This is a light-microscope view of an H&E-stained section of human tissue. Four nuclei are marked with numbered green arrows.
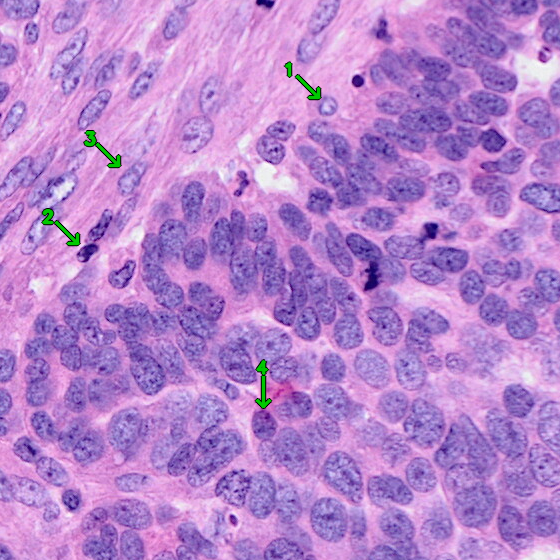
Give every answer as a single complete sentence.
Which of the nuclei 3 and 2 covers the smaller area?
It is nucleus 2; nucleus 3 has about 2 times its area.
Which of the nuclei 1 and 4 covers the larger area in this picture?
The larger nucleus is 4, at roughly 2 times the area of 1.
